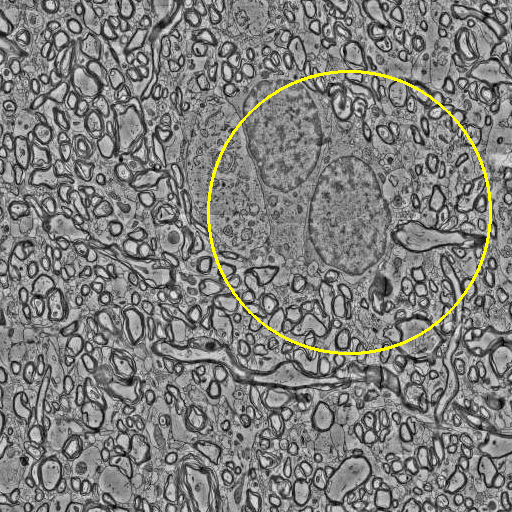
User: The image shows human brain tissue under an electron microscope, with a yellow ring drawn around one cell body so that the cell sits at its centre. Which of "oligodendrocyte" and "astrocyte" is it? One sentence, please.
At the centre of the ring sits an oligodendrocyte.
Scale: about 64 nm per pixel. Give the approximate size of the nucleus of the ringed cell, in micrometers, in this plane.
About 8 micrometres by about 5 micrometres in this plane.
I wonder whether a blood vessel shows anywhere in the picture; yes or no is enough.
No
